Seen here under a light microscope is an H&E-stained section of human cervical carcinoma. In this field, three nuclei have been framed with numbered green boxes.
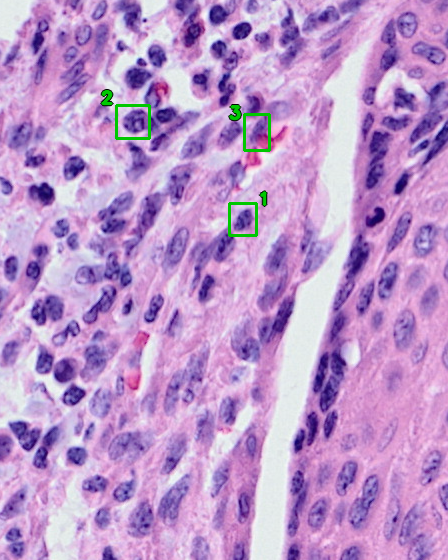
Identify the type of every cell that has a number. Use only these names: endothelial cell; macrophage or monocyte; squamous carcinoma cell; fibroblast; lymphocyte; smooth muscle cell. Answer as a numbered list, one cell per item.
1. lymphocyte
2. lymphocyte
3. endothelial cell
